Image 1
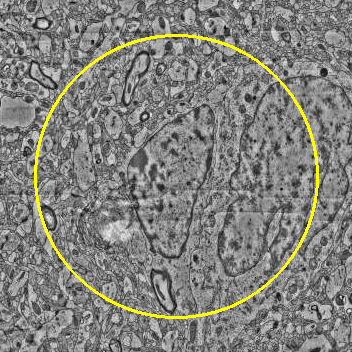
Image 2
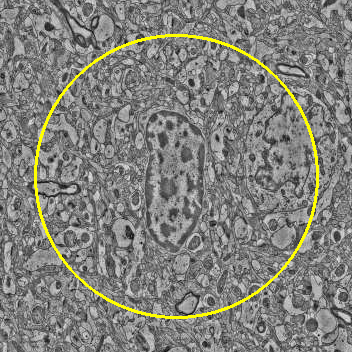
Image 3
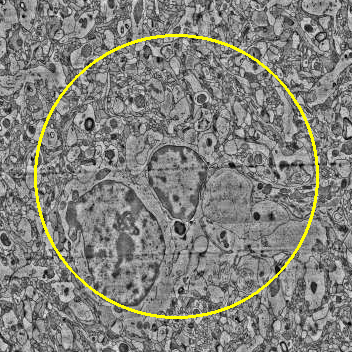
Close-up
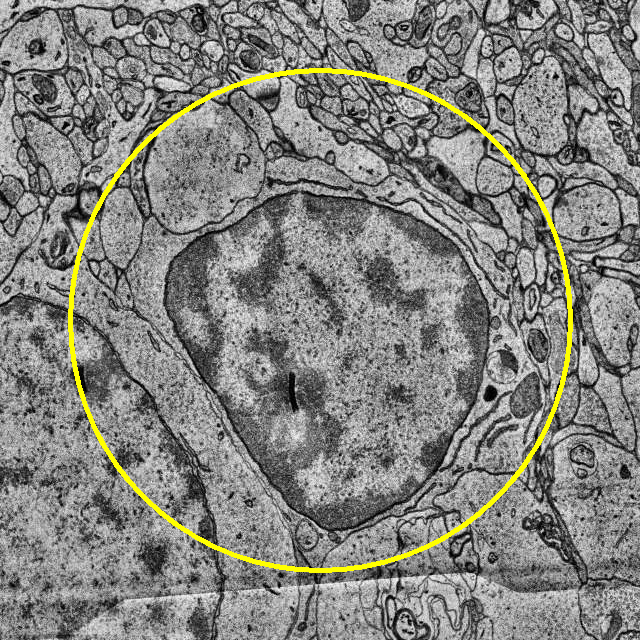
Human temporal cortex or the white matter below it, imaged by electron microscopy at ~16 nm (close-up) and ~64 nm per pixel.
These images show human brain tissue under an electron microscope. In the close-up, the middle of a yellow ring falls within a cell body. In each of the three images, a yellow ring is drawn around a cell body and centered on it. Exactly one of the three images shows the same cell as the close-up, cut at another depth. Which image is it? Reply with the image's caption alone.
Image 3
